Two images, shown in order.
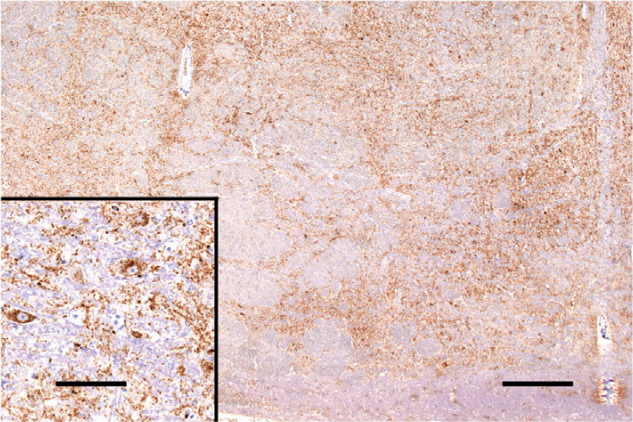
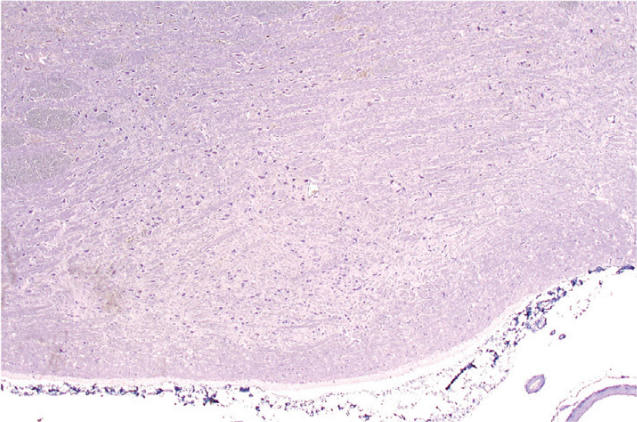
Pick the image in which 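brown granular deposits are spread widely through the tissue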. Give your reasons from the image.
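The first image. Second image: the tissue is blue-purple throughout with no brown deposits. First image: coarse brown granular deposits cover much of the tissue, densest in patches.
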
